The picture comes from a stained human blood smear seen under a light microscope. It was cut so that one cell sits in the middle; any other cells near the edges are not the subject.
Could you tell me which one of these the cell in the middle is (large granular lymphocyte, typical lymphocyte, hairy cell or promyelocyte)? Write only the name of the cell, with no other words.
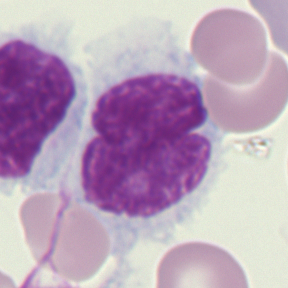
hairy cell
